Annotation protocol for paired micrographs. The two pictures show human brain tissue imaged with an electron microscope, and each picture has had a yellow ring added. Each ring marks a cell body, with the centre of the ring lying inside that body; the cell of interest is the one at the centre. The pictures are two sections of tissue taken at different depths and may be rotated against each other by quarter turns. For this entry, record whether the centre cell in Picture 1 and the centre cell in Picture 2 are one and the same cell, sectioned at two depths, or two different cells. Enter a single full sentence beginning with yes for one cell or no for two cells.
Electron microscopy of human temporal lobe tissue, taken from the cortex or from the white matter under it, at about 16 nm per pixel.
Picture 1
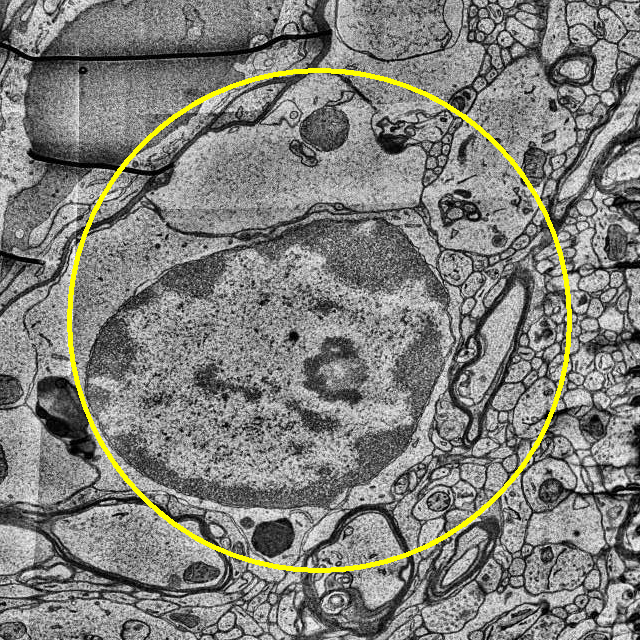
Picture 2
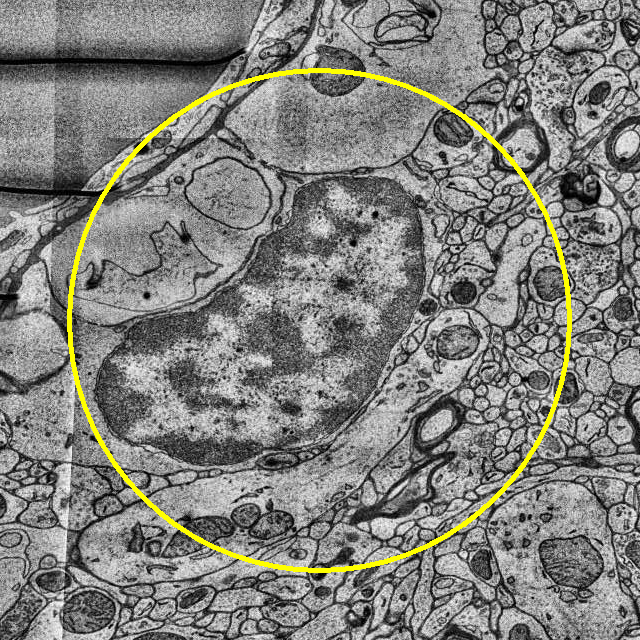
Yes, the two marked outlines come from one and the same cell.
